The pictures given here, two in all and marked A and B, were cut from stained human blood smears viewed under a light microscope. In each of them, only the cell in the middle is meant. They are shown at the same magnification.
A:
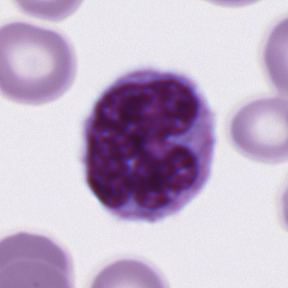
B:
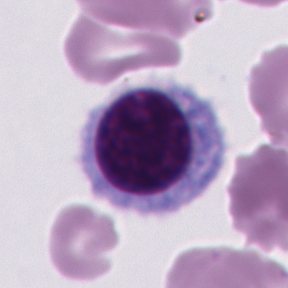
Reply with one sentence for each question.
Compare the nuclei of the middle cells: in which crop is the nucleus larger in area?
Picture A shows the larger nucleus; it covers about 1.5 times the area of the nucleus in picture B.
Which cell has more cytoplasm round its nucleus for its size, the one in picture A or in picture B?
It is the cell in picture B that is filled less by its nucleus.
